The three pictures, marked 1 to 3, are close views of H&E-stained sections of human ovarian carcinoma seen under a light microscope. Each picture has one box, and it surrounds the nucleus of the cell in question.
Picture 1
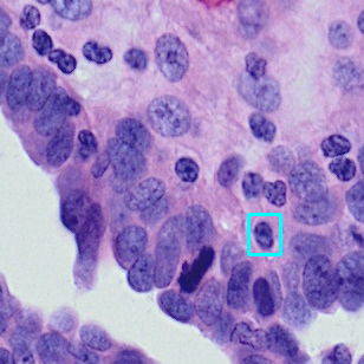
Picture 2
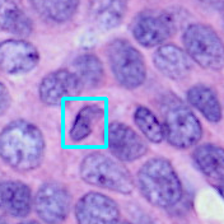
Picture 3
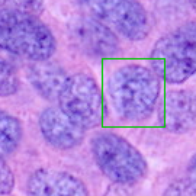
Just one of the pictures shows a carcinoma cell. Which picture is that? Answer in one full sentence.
It is picture 3 that shows the carcinoma cell.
